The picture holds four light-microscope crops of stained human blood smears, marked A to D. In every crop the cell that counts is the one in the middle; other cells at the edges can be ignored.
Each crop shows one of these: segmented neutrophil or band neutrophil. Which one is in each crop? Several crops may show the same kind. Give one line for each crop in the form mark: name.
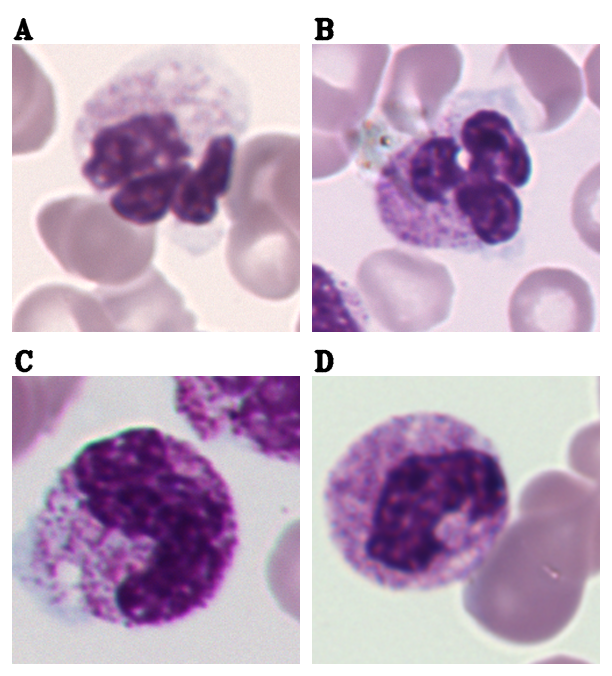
A: segmented neutrophil
B: segmented neutrophil
C: band neutrophil
D: segmented neutrophil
